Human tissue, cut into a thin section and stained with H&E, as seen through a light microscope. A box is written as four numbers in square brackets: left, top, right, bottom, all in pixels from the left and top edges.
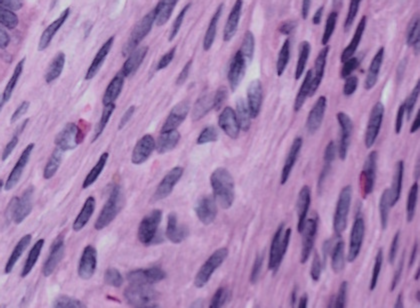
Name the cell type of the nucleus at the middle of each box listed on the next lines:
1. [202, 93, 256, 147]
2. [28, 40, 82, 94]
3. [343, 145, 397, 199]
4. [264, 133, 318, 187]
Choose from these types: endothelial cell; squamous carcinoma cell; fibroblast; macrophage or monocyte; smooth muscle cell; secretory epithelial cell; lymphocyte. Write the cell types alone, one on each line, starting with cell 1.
endothelial cell
fibroblast
endothelial cell
fibroblast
